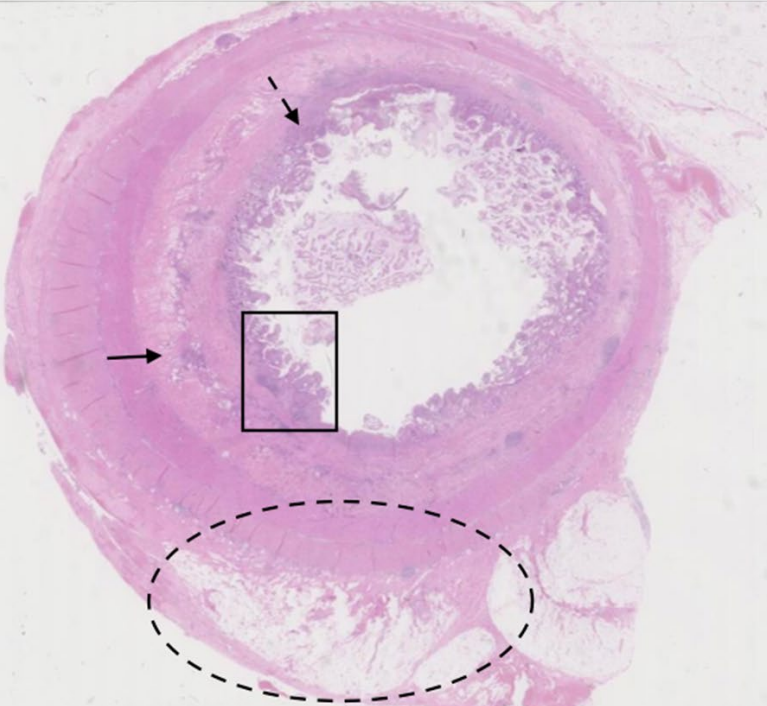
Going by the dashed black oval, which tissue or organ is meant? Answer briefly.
Mesenteric fat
